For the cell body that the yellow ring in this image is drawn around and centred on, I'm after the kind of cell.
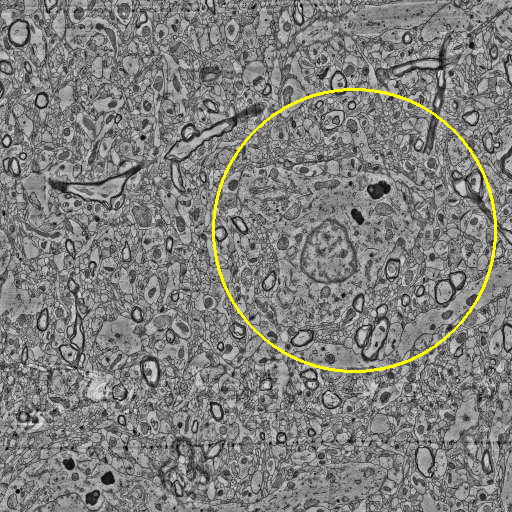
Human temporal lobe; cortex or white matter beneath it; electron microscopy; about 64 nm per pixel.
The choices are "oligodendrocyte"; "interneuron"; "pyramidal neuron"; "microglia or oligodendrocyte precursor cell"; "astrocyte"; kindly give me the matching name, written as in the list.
pyramidal neuron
